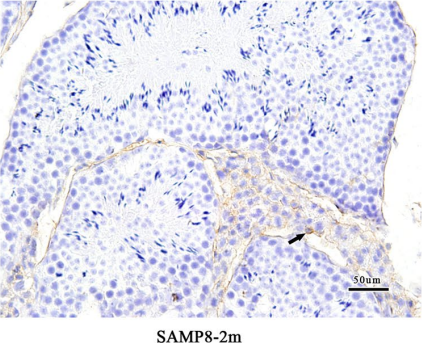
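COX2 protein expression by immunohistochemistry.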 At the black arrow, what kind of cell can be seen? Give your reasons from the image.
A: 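The arrow points to a group of cells between adjacent tubules. These cells show faint brown cytoplasm around blue nuclei.
Conclusion: Leydig cells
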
